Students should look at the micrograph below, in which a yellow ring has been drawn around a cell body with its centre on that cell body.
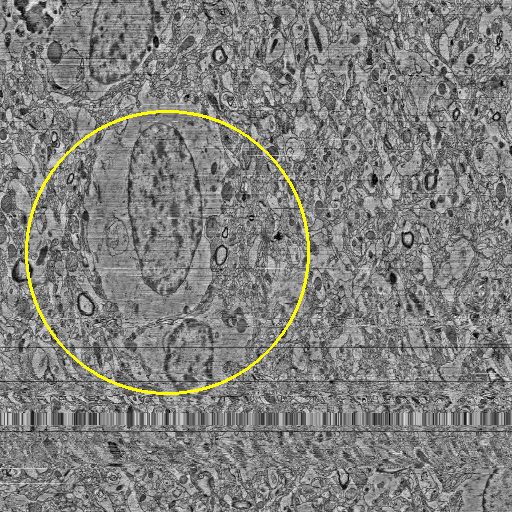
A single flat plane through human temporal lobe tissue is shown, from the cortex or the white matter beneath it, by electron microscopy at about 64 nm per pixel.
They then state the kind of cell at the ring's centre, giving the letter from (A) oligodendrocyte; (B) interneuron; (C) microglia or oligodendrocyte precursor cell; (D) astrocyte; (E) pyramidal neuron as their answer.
D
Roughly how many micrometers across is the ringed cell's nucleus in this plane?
The nucleus is approximately 11 micrometres long but only about 5 wide, clearly longer than it is wide in this plane.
